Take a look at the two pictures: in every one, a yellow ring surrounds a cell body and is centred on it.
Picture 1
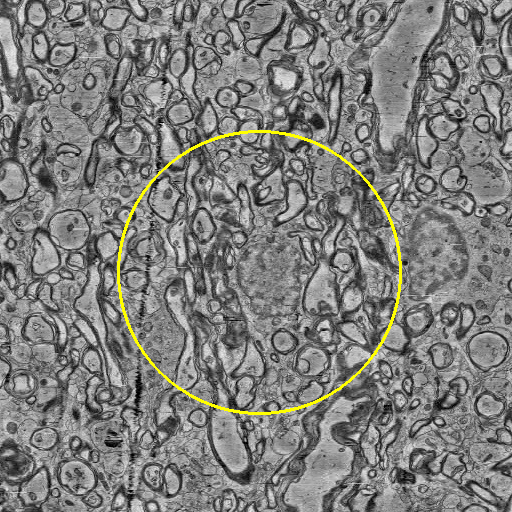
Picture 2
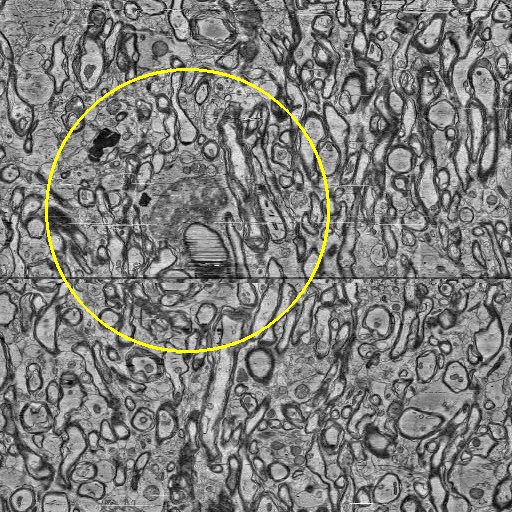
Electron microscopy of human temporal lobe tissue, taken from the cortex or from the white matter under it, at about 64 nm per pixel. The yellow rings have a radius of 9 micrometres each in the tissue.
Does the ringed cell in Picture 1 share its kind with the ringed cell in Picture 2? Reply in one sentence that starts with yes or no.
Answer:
Yes, the two centred cells, one per picture, are of one kind.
